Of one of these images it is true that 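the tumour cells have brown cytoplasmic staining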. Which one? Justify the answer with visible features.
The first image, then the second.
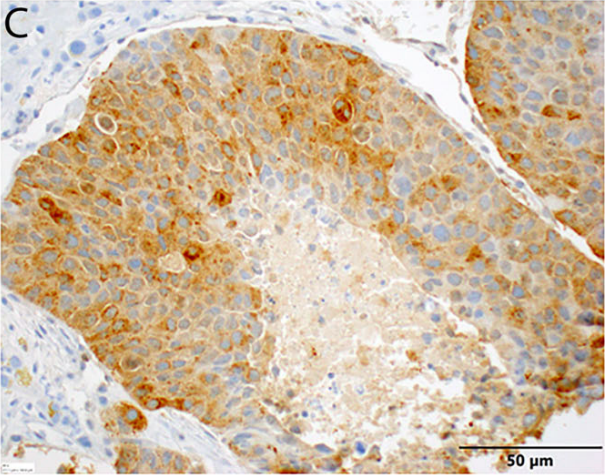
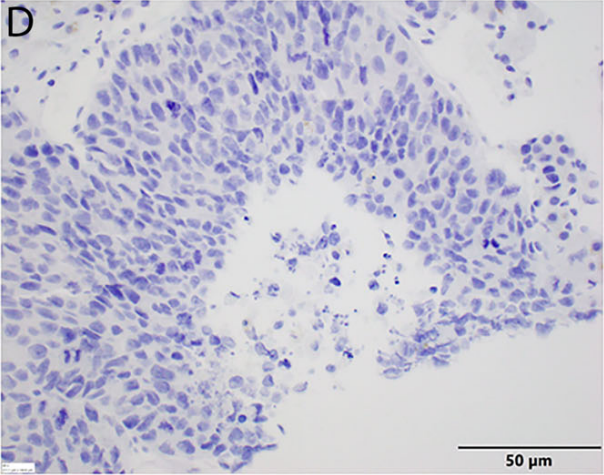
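Second image: the tumour cells are only blue, with no brown colour. First image: the cytoplasm of the tumour cells is diffusely brown. So: the first image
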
